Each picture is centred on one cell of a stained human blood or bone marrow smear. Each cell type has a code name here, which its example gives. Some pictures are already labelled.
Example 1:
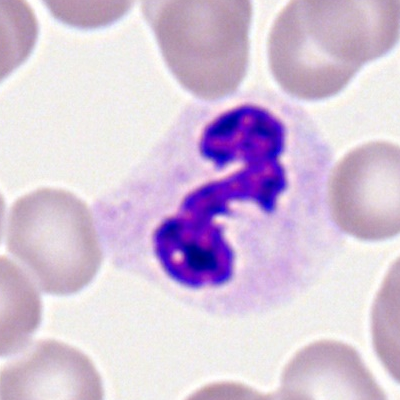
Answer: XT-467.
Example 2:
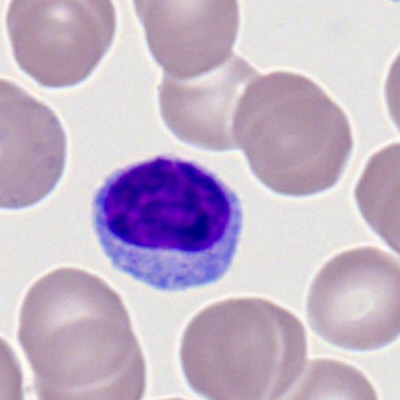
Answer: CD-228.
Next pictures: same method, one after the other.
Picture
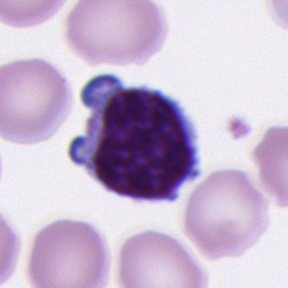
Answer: CD-228.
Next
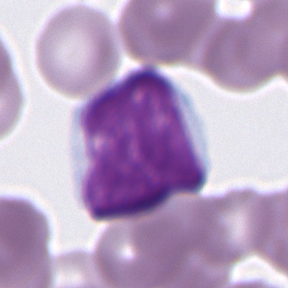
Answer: CD-228.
